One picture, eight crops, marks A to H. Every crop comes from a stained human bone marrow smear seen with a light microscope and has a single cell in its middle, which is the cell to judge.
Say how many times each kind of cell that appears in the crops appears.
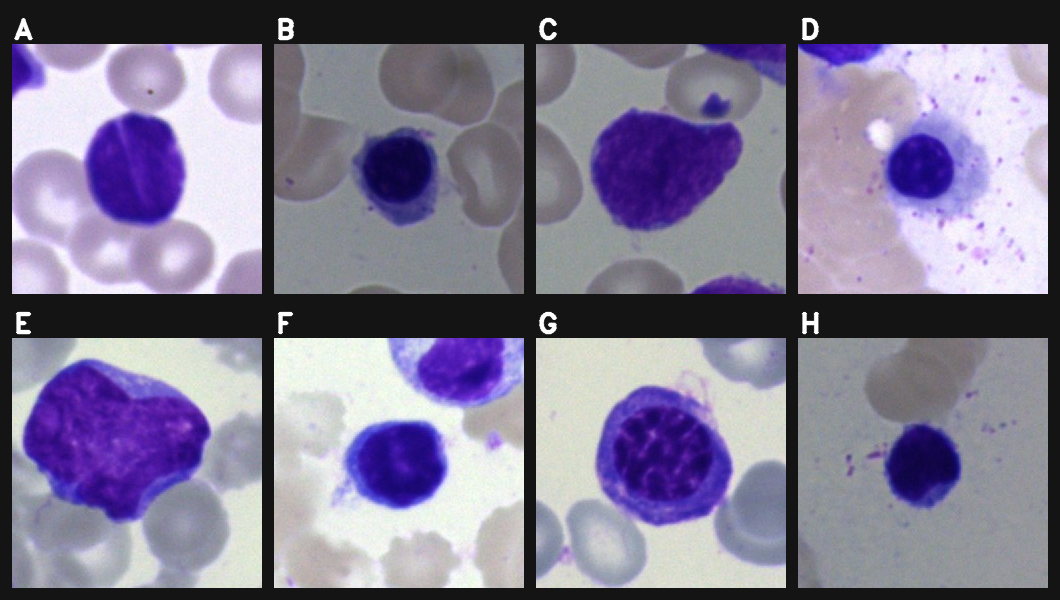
lymphocyte: 3
erythroblast: 3
blast: 2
